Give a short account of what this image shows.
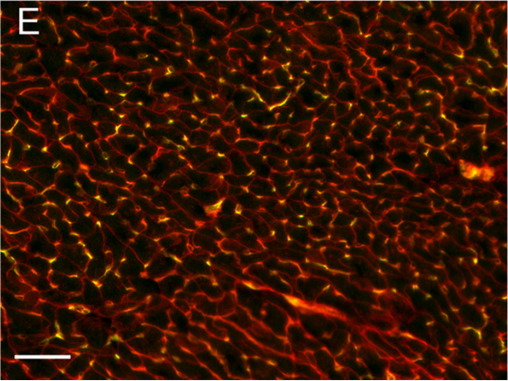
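Heart muscle cut mostly in cross section shows a dense mosaic of muscle fibres, each outlined by a thin red border and with a dark, unstained interior. Small yellow-green dots, the capillaries, lie in the narrow spaces between fibres, often at the corners where several fibre borders meet, so that nearly every fibre is bordered by one or more of them. In the lower part of the field some fibres and vessels run obliquely or lengthwise, appearing as elongated red and yellow streaks.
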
